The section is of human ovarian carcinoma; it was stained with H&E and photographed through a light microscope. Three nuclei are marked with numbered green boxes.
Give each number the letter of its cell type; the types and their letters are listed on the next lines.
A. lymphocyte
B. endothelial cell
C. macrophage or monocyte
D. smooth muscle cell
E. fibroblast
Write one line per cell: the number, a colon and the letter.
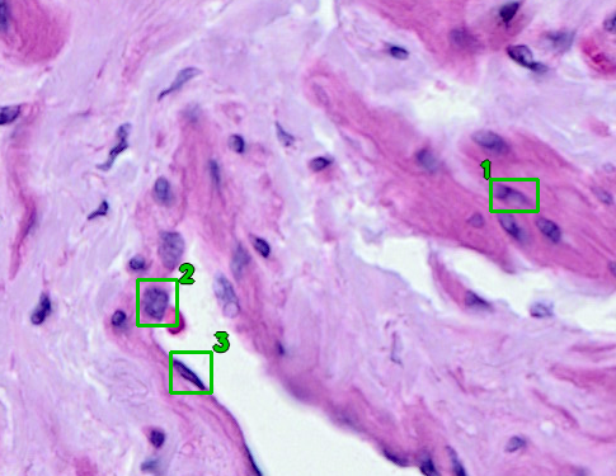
1: D
2: B
3: B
